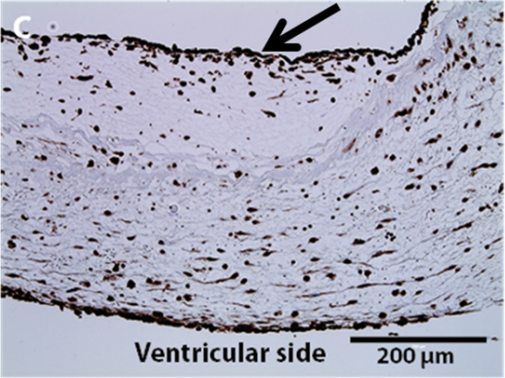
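A section through a valve cusp shows brown-stained cells lining the tissue surface as a thin, flattened layer and also scattered through the interior. Along the upper edge, elongated flattened cells with dark brown nuclei form a nearly continuous line, and a similar dense layer runs along the lower edge. The pale matrix between holds scattered round to spindle-shaped cells with brown nuclei, which are more numerous in the lower half and there lie aligned in streams parallel to the surface. The upper part of the matrix is sparser in cells, with wavy pale fibres.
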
